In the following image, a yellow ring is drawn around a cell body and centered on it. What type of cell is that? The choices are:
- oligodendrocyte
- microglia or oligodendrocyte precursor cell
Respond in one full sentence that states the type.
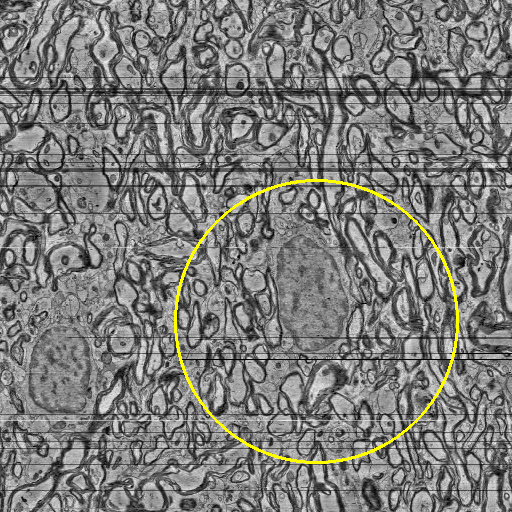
The cell at the center of the yellow ring in the image is an oligodendrocyte.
